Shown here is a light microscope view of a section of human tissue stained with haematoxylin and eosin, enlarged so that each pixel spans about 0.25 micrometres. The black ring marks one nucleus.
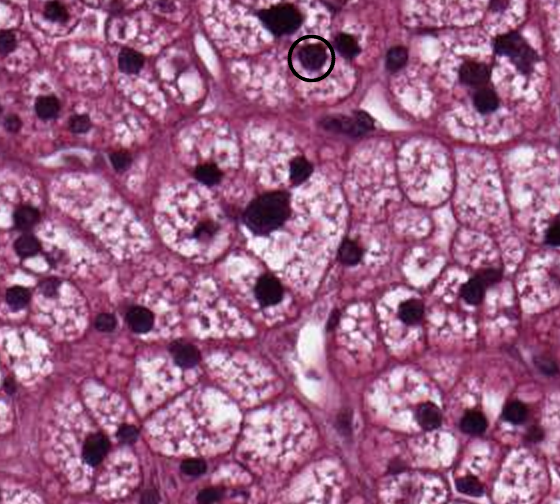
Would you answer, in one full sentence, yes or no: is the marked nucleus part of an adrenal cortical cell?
Yes, it is the nucleus of an adrenal cortical cell that has been marked.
